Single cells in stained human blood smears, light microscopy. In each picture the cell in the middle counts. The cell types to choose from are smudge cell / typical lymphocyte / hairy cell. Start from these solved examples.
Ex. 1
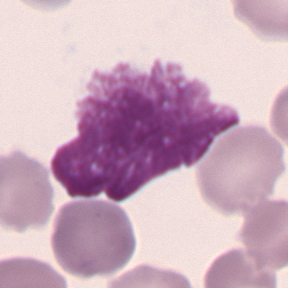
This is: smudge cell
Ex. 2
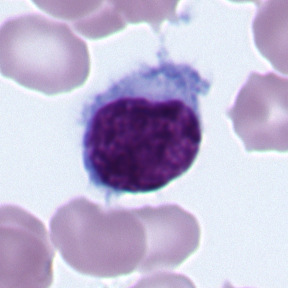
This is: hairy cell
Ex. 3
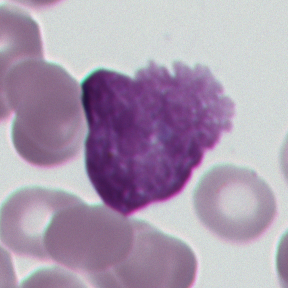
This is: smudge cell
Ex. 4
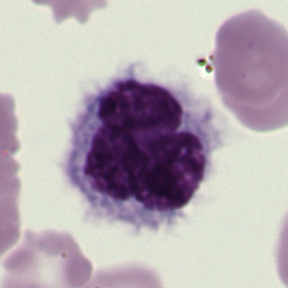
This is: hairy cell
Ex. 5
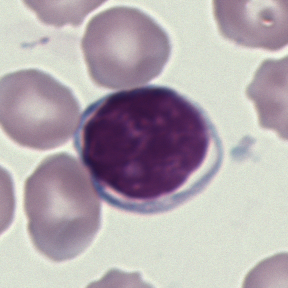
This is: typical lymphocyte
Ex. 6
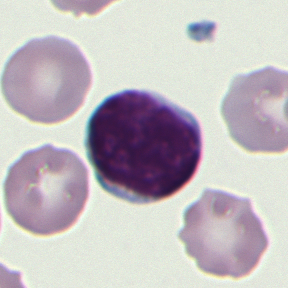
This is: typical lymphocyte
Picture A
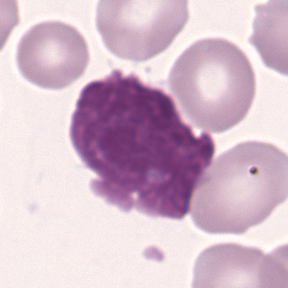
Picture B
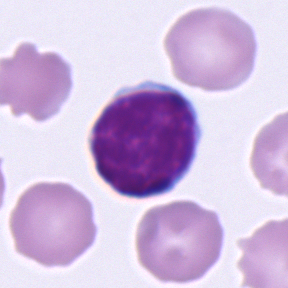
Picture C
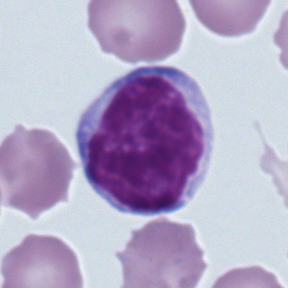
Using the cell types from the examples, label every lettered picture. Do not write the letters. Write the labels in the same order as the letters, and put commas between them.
smudge cell, typical lymphocyte, typical lymphocyte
